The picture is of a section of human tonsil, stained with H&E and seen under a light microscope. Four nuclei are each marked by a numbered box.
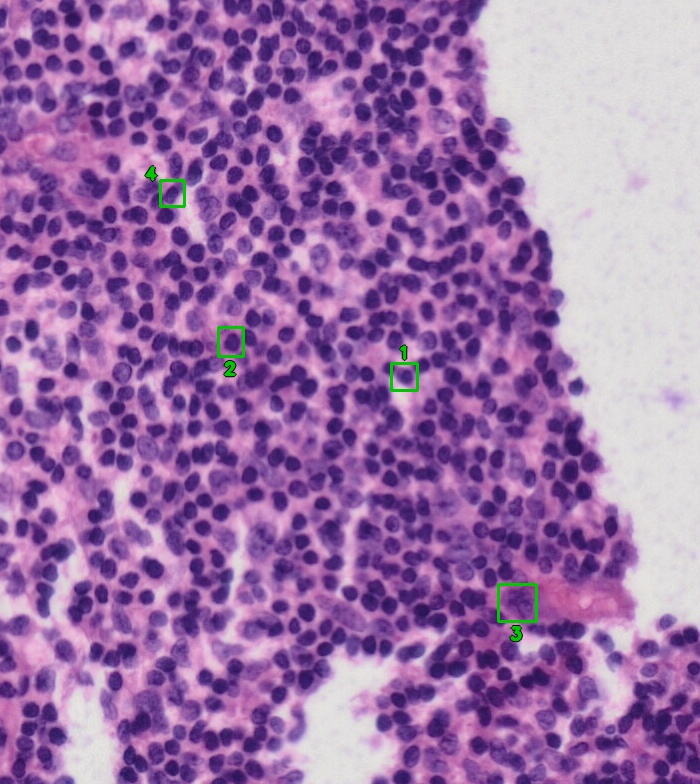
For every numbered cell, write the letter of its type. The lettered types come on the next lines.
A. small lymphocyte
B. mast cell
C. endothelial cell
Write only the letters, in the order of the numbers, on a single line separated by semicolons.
A; A; C; A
